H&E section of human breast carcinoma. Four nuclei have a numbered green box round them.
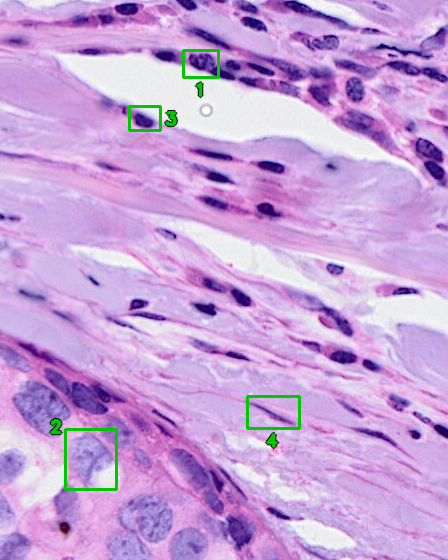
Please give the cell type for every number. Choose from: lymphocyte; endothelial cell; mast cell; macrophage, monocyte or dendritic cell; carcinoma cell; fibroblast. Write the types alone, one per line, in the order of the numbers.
lymphocyte
carcinoma cell
lymphocyte
fibroblast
